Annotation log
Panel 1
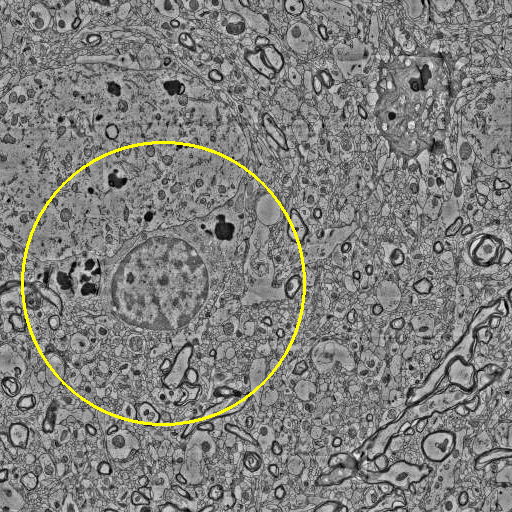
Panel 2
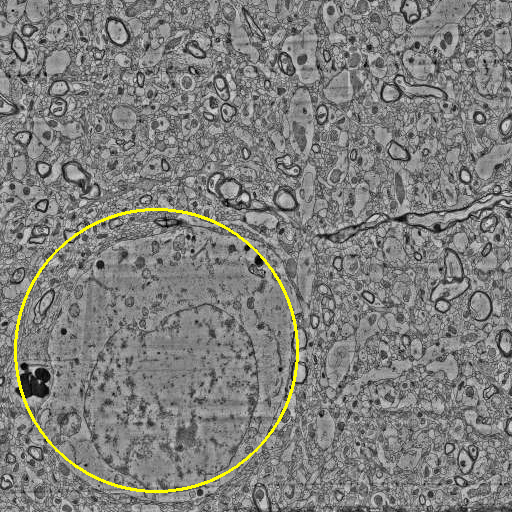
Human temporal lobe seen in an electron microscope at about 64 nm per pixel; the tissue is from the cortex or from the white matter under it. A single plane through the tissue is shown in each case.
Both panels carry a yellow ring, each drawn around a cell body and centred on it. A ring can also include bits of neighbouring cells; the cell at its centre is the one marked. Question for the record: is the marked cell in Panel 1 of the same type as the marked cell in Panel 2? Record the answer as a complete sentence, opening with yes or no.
No, the marked cells in Panel 1 and Panel 2 are of two types.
